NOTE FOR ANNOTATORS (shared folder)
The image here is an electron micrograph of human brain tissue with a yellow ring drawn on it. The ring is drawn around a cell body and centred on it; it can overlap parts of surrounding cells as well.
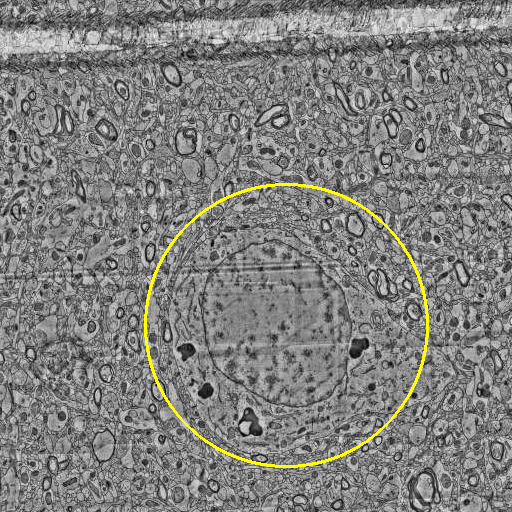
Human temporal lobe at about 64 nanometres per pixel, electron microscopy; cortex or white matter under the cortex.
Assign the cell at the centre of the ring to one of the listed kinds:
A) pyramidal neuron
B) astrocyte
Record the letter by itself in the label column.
A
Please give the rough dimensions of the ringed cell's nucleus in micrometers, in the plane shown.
About 11 by 9 micrometres in this plane.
